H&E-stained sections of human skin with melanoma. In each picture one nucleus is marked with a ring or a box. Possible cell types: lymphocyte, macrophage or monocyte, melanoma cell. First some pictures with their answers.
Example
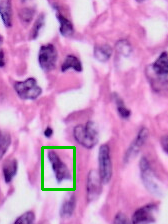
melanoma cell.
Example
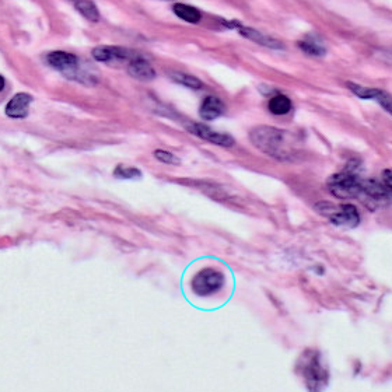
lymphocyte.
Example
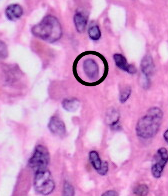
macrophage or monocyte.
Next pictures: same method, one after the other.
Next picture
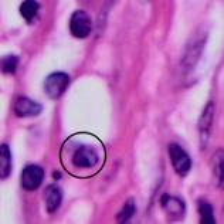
lymphocyte.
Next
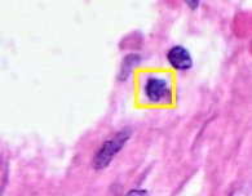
lymphocyte.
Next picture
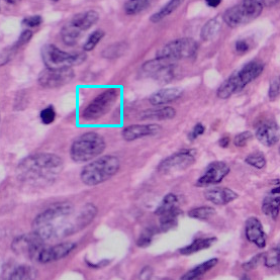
melanoma cell.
